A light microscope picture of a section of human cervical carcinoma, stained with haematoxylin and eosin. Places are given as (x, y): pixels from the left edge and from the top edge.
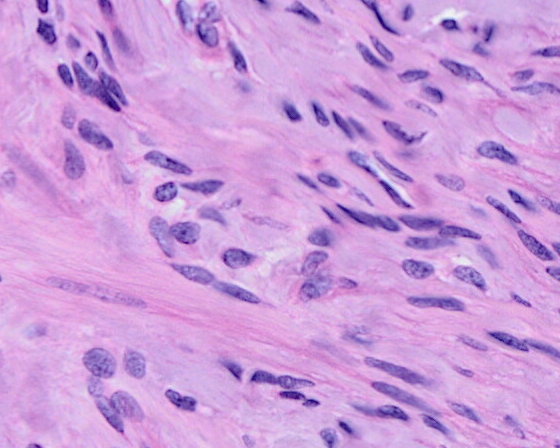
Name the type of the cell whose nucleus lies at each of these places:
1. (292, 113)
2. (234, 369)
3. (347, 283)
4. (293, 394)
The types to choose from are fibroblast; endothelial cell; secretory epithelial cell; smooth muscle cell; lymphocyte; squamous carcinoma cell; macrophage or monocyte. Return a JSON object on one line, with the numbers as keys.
{"1": "fibroblast", "2": "fibroblast", "3": "smooth muscle cell", "4": "fibroblast"}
